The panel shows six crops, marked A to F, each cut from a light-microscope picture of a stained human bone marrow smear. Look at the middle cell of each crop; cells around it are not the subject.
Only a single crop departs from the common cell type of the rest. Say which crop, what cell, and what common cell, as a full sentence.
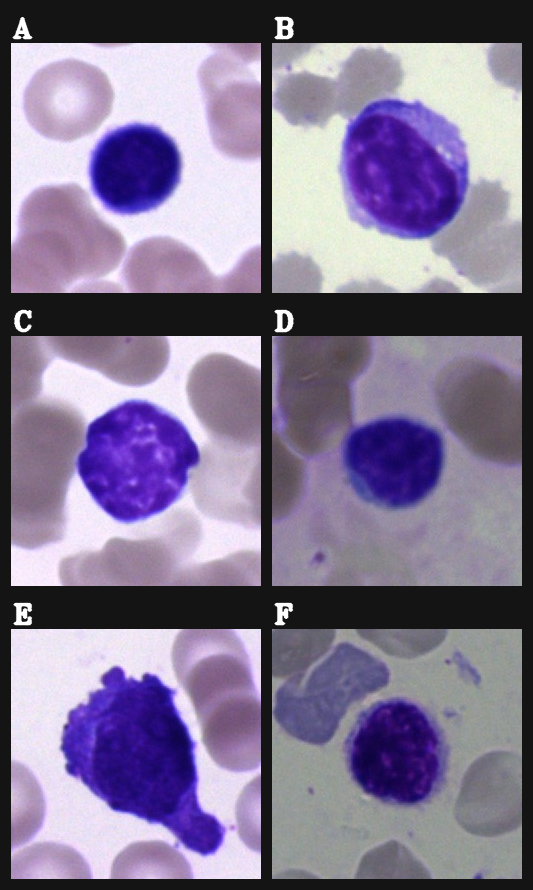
The single exception is crop E, which is a blast; all other crops show lymphocytes.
